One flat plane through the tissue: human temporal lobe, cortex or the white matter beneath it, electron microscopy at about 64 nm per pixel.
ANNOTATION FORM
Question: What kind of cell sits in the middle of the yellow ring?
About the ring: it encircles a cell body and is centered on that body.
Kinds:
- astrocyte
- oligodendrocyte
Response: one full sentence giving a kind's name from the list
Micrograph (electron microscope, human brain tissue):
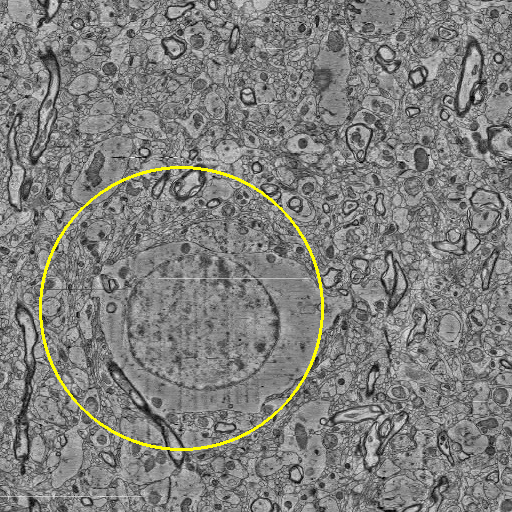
The kind of cell found at the center of the yellow ring in the micrograph is an astrocyte.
